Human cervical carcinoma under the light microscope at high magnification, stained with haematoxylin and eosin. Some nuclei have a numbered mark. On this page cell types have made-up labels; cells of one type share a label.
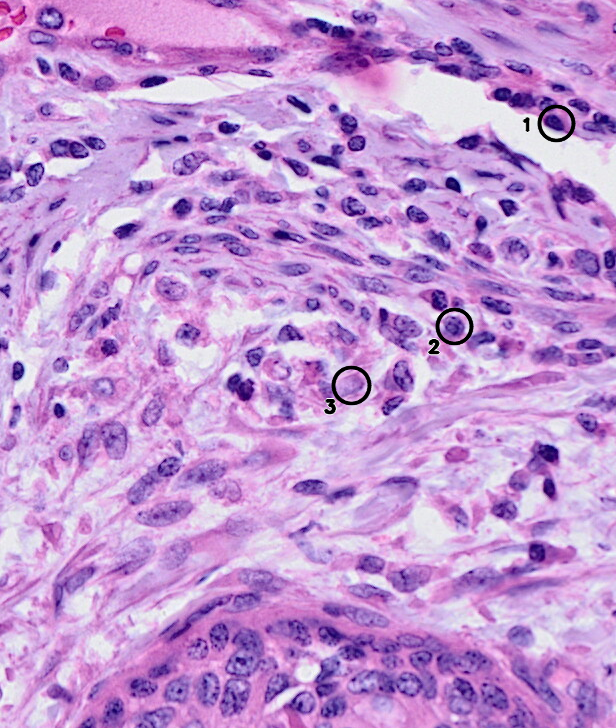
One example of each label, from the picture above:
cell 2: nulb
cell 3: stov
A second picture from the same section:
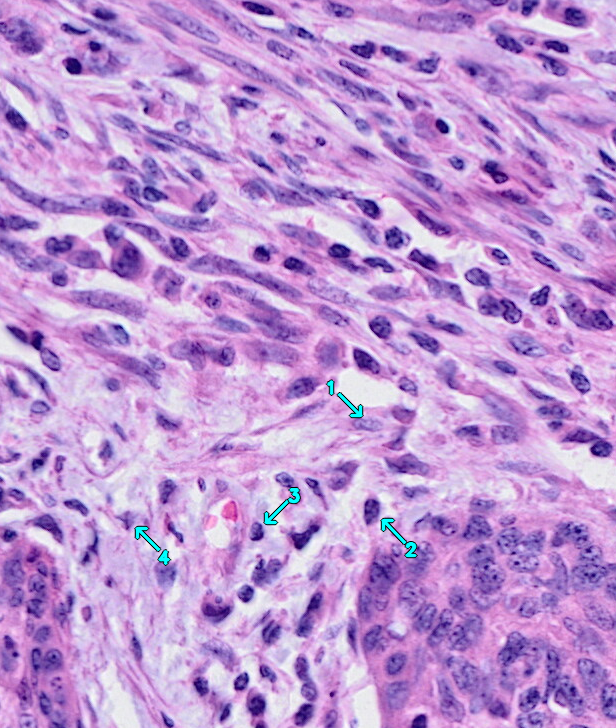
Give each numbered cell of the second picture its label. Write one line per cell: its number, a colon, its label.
1: stov
2: nulb
3: nulb
4: stov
